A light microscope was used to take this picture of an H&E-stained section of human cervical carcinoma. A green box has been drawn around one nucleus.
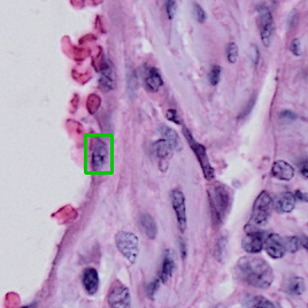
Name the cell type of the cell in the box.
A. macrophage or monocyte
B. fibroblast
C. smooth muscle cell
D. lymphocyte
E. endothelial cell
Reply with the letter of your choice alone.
E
